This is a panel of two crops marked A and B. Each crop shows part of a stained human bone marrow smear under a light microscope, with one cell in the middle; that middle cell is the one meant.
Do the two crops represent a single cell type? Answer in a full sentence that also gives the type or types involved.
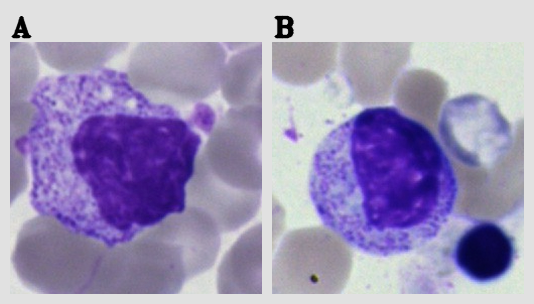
No, a myelocyte is depicted by crop A, a metamyelocyte by crop B.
